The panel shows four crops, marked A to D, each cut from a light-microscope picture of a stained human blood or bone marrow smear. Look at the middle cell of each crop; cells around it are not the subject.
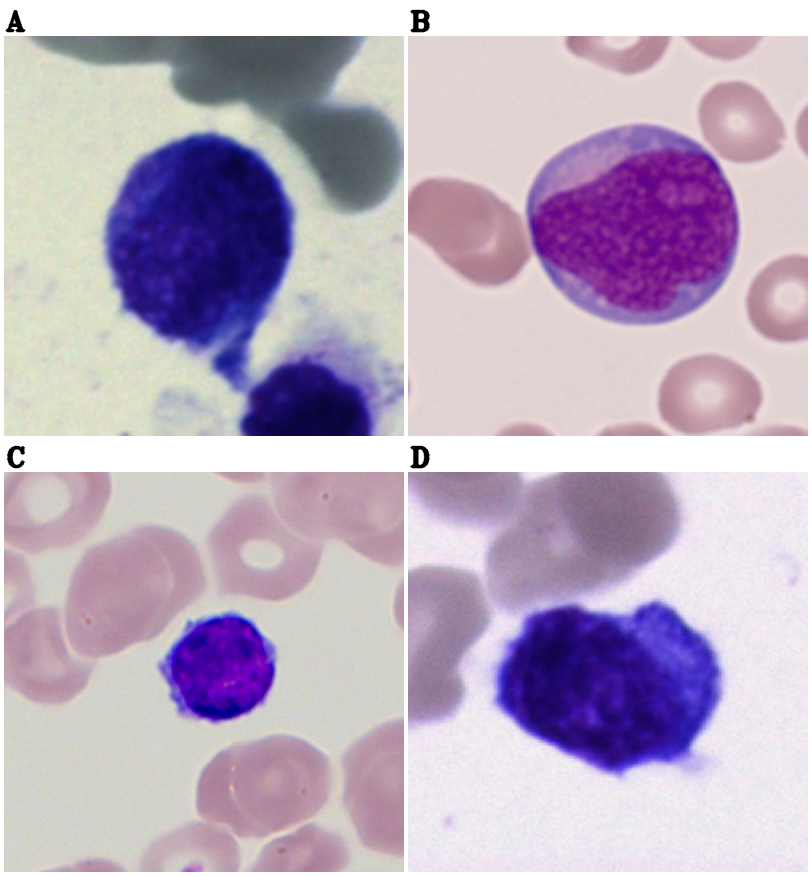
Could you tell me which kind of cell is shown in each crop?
A: blast
B: blast
C: lymphocyte
D: blast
